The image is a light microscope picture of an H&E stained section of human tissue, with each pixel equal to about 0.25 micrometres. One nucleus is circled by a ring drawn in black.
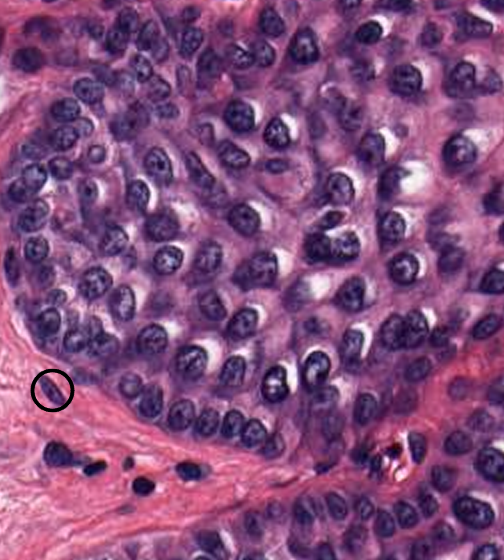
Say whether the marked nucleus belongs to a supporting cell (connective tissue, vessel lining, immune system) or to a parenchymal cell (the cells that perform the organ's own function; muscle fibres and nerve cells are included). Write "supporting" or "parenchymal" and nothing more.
supporting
